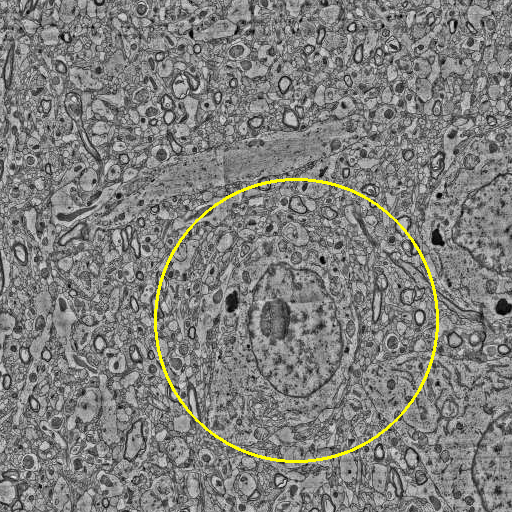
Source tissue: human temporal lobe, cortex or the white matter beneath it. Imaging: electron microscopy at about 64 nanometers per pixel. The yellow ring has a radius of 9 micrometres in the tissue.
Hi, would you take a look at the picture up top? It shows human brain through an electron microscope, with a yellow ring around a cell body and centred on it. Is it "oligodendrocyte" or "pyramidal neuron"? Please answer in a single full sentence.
The best fit for the cell in the middle of the ring is a pyramidal neuron, I reckon.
